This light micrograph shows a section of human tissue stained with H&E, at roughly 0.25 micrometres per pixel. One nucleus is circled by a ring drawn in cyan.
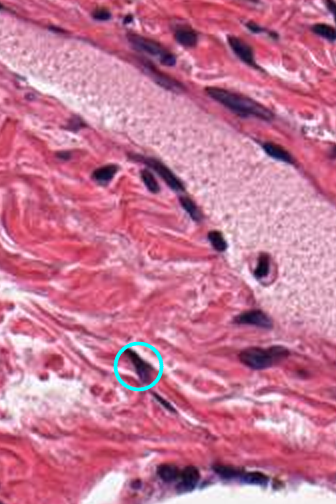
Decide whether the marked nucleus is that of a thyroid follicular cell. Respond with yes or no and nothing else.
no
